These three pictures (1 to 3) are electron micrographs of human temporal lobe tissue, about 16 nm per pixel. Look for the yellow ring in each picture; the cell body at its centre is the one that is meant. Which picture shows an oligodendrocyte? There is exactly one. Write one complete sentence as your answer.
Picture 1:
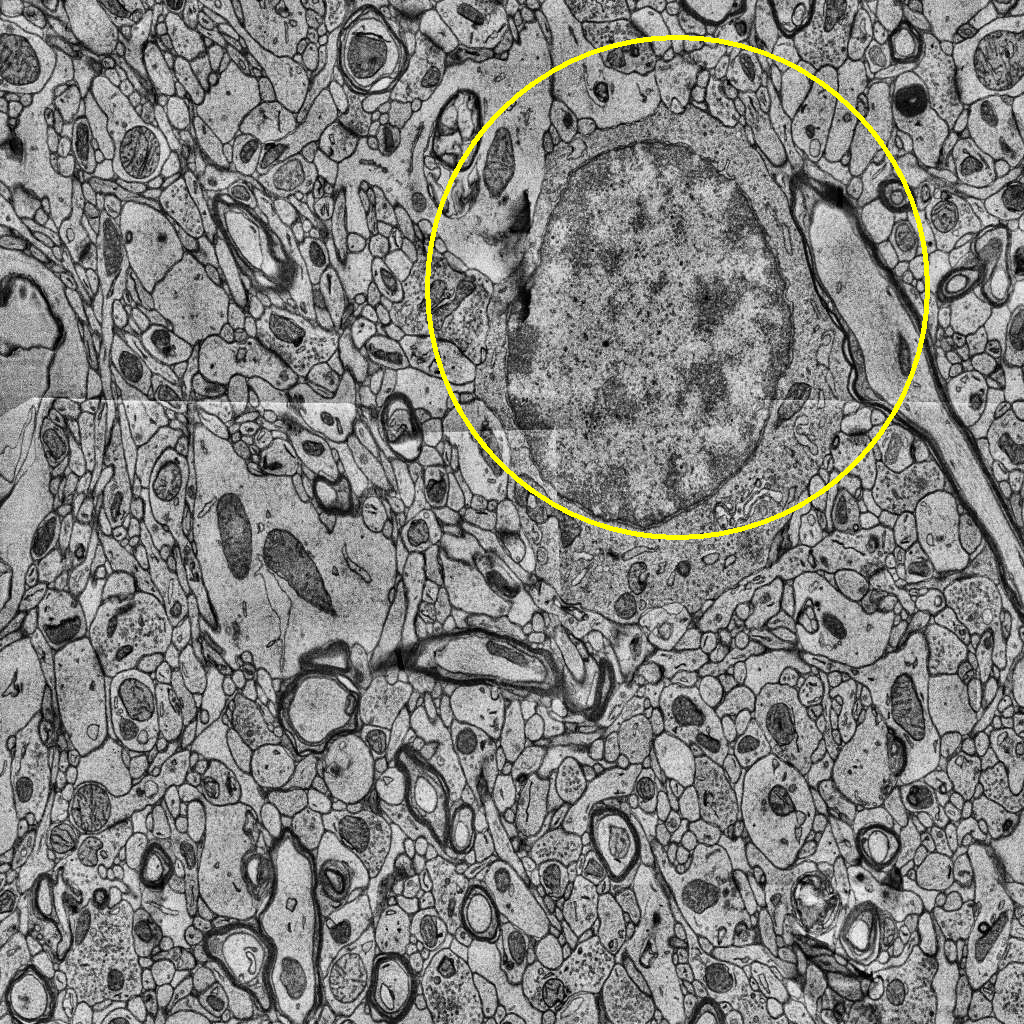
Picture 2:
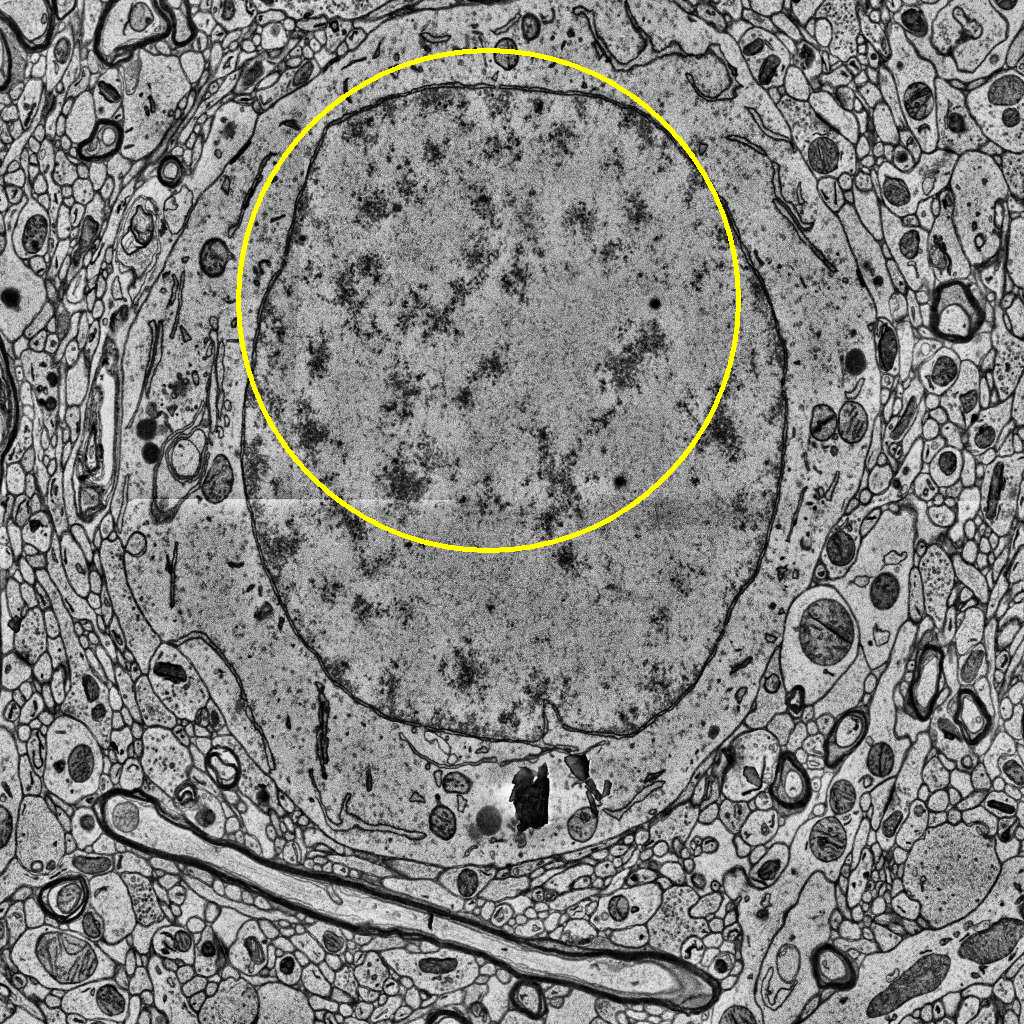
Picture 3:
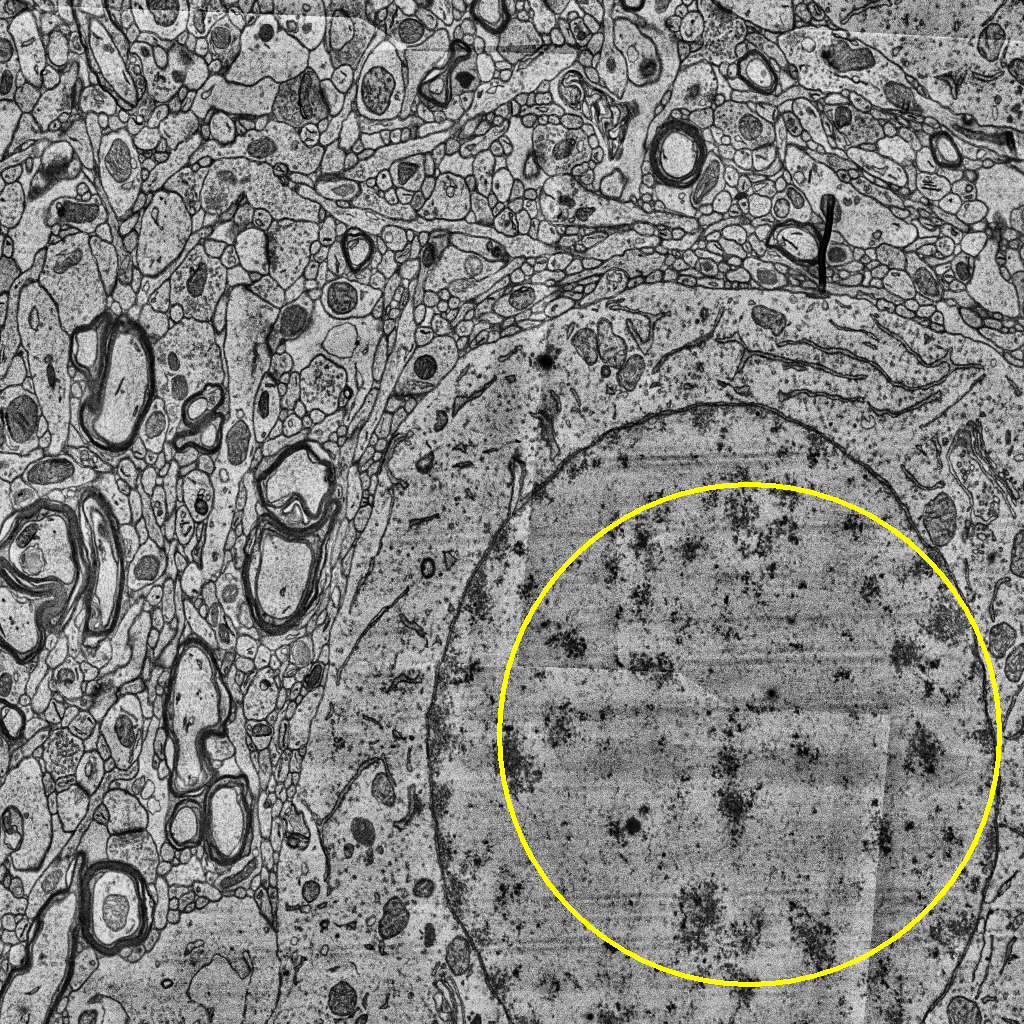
Picture 1 is the one that shows the oligodendrocyte.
